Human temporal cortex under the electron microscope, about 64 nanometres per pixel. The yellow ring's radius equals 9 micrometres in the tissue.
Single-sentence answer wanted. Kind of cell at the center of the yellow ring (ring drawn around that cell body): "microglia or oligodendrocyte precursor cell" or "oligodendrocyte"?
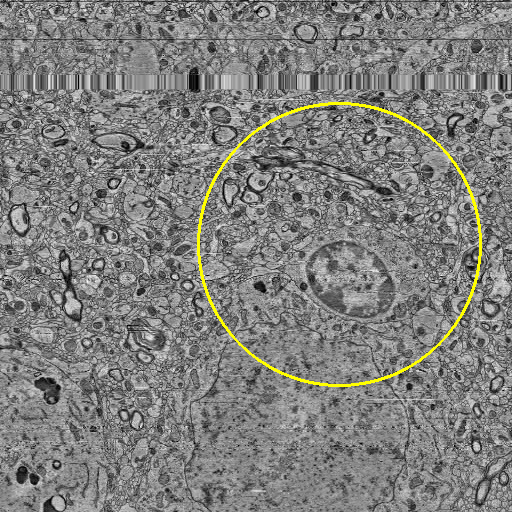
The cell centered in the ring is an oligodendrocyte.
